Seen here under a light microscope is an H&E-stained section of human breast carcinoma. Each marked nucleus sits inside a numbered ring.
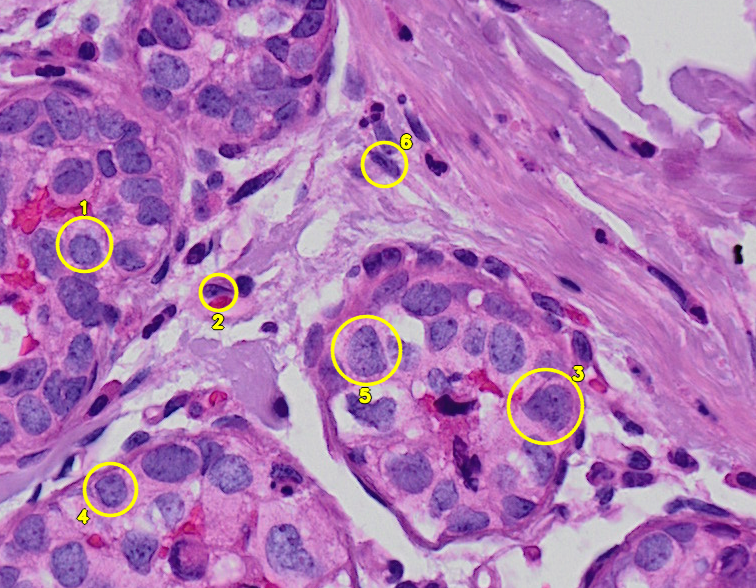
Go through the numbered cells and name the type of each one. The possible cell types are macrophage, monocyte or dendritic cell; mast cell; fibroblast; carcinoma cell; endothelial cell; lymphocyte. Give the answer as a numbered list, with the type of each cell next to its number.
1. carcinoma cell
2. endothelial cell
3. carcinoma cell
4. carcinoma cell
5. carcinoma cell
6. fibroblast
